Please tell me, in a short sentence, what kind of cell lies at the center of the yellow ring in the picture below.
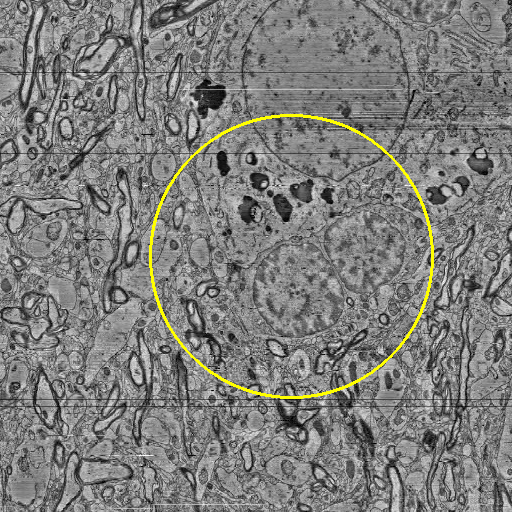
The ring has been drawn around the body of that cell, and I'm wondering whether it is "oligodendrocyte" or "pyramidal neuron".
The cell at the center of the ring is an oligodendrocyte.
